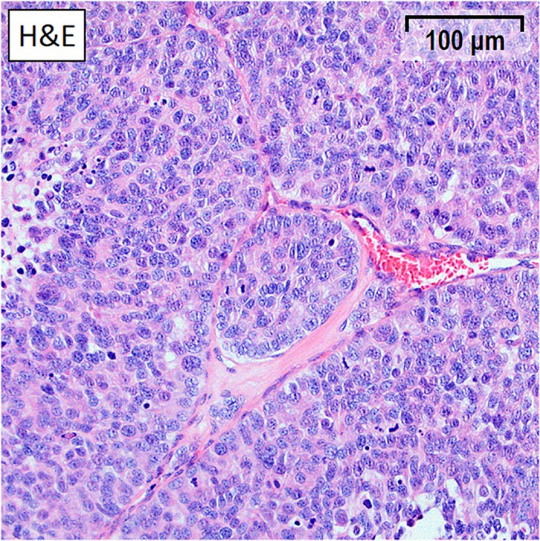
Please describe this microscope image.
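This is a solid tumour made of densely packed cells growing in sheets and rounded nests. Thin pink fibrous septa run between the cell masses. One septum holds a small vessel filled with red blood cells. A rounded nest in the centre is separated from the surrounding septum by a narrow clear space. Toward the left edge, scattered small dark nuclei lie in a looser, paler area.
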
